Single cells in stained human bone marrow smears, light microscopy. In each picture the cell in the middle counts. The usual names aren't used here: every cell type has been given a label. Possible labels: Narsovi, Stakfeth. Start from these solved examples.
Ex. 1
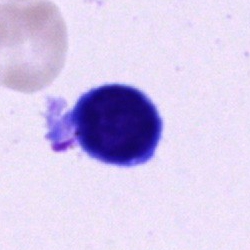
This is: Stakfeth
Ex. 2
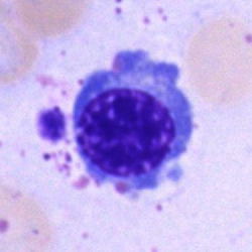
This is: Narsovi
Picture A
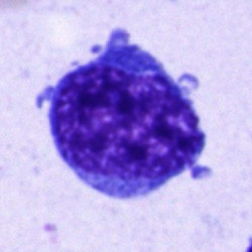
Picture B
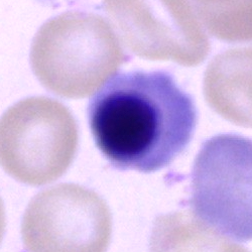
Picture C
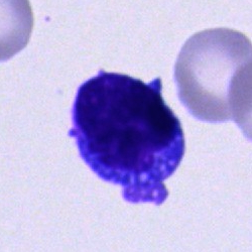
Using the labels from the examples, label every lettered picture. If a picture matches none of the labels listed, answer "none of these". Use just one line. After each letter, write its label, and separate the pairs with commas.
A none of these, B Narsovi, C none of these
